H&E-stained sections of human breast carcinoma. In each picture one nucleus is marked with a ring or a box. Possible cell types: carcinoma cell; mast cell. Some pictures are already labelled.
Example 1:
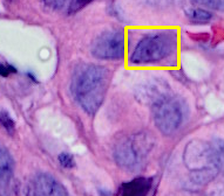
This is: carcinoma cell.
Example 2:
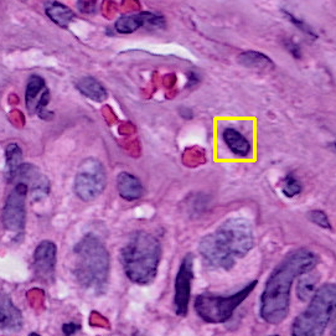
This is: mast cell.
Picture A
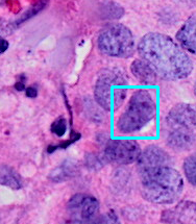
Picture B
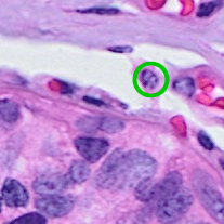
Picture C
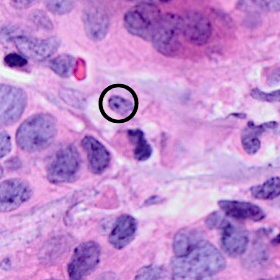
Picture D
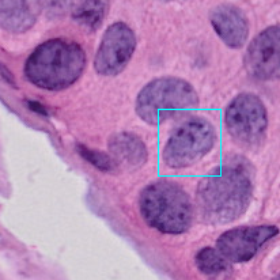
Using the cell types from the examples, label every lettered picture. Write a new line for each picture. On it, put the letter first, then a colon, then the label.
A: carcinoma cell.
B: mast cell.
C: mast cell.
D: carcinoma cell.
